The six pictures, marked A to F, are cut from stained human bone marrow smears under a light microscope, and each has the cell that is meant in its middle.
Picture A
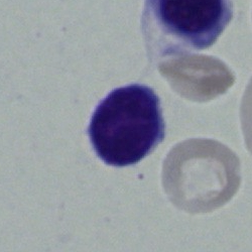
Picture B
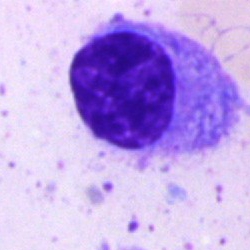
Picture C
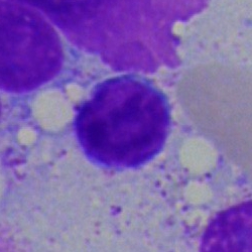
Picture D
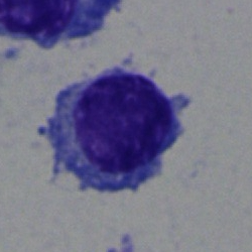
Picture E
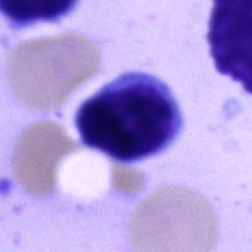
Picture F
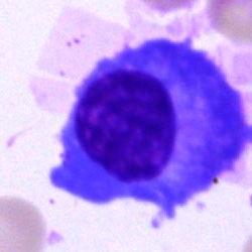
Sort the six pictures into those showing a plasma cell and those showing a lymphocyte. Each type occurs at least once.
A: lymphocyte
B: plasma cell
C: lymphocyte
D: plasma cell
E: lymphocyte
F: plasma cell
